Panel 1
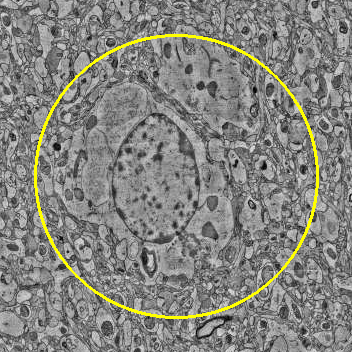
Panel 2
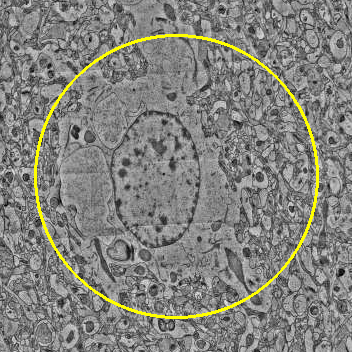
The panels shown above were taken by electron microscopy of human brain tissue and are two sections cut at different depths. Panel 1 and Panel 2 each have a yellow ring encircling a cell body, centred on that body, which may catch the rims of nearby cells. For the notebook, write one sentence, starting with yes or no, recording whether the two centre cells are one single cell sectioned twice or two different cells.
Yes, the same individual cell is enclosed by both rings.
